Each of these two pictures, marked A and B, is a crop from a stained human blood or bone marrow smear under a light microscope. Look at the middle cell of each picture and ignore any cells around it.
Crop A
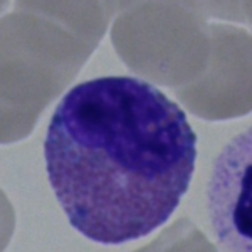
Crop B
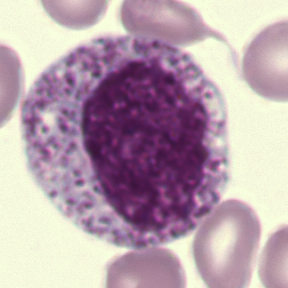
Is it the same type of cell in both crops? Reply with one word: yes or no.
no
